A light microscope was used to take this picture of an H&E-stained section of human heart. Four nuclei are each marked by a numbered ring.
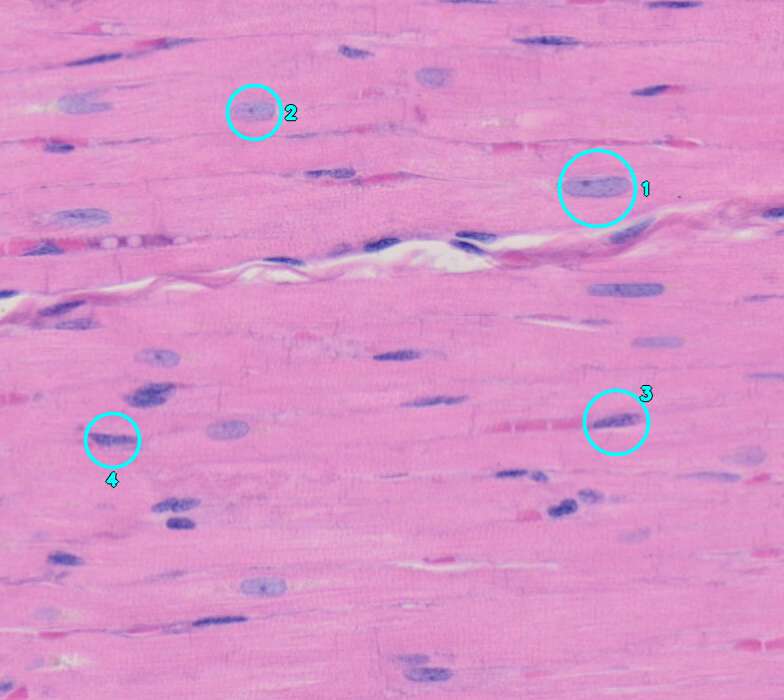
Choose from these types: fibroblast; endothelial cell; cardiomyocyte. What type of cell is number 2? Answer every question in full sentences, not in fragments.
The nucleus with number 2 is that of a cardiomyocyte.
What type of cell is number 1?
Belonging to a cardiomyocyte is the nucleus that carries the number 1.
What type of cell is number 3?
The identity of cell 3 is that of an endothelial cell.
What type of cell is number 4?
The marked cell with the number 4 is recognised as an endothelial cell.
